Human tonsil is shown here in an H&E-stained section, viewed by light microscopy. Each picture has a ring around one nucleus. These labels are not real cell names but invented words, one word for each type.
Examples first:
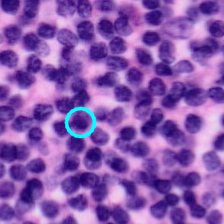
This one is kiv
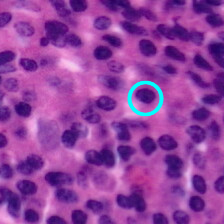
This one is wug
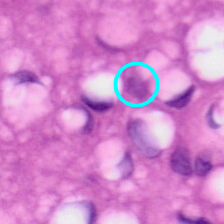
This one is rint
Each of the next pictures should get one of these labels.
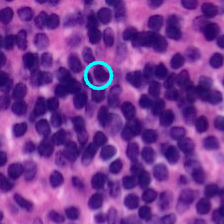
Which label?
kiv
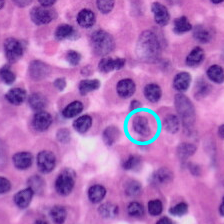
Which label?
wug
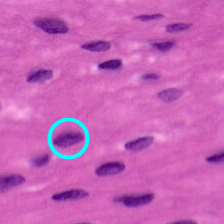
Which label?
rint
